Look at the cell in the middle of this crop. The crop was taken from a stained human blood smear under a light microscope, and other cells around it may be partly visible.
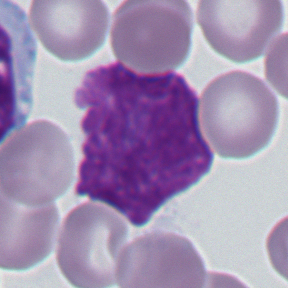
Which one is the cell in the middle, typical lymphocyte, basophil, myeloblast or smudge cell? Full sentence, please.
The cell of interest, in the center, is a smudge cell.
